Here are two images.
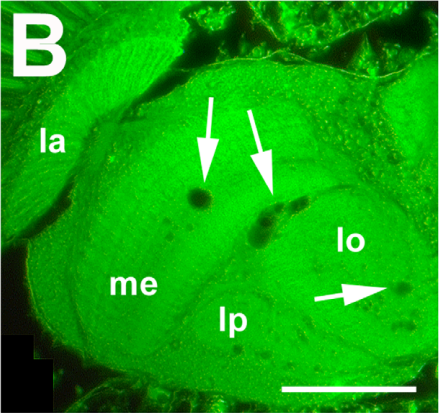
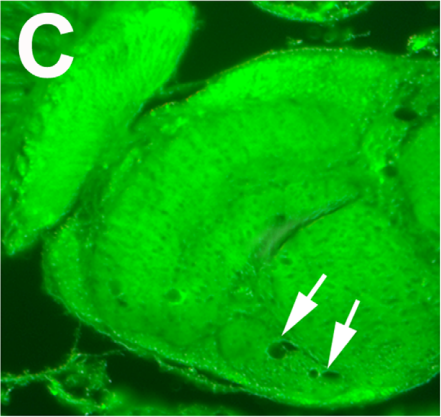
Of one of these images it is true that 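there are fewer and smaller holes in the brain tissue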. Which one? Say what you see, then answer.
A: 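The second image. Second image: two small dark holes are marked. First image: three larger dark holes are marked, with further dark spots nearby.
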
